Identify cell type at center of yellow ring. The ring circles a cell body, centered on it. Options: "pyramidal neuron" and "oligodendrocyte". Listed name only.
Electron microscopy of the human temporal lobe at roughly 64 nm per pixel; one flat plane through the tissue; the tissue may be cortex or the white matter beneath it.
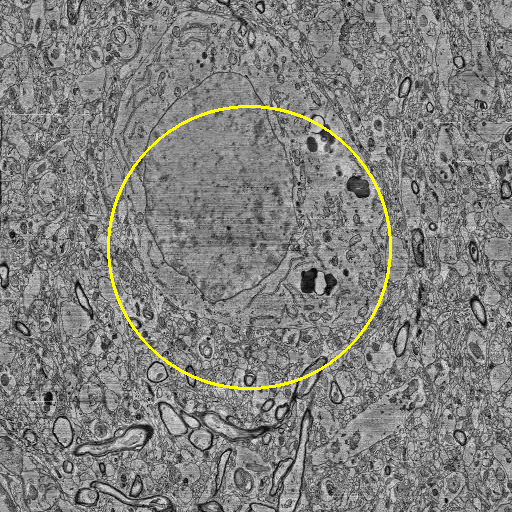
pyramidal neuron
